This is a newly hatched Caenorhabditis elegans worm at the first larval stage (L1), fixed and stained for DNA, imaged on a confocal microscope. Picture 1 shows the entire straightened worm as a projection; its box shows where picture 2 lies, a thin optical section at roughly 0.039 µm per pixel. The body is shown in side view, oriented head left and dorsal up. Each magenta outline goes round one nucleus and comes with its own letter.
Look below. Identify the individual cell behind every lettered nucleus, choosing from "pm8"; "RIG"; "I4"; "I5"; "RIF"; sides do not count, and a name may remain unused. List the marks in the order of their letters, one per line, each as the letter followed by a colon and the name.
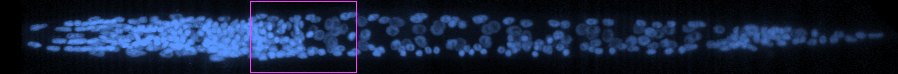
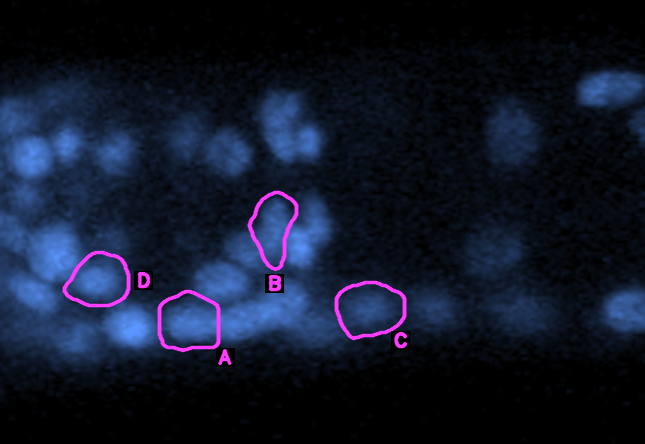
A: RIF
B: pm8
C: RIG
D: I5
